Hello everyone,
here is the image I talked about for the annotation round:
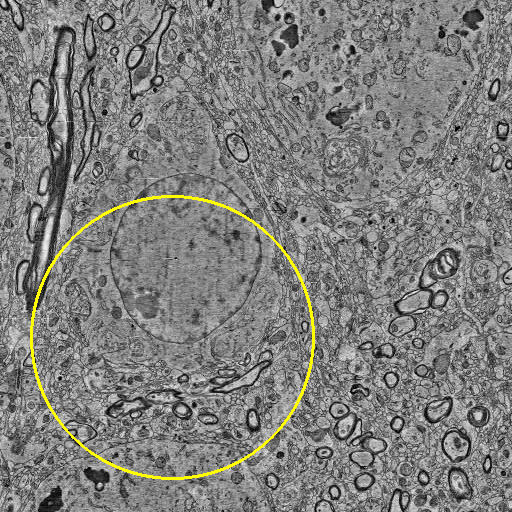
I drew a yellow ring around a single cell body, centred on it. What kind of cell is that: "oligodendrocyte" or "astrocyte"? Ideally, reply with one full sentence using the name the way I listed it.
The cell your yellow ring is centred on is an astrocyte, going by your list.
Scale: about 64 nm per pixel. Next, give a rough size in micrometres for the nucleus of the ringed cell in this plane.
About 11 by 9 micrometers for the nucleus, in this plane.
